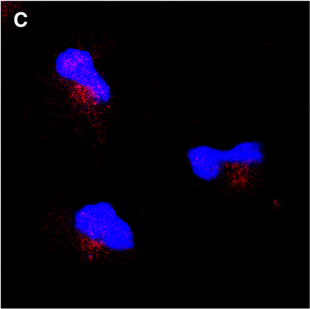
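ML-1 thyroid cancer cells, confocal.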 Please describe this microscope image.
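The nuclei are irregular in outline, somewhat elongated or lobed rather than round, and fill a large part of each cell. The red fluorescence is fine and granular, made of many small dots rather than an even fill. These red dots gather mainly beside the nucleus, lying to one side of it in the cytoplasm, with a few dots farther out. The cells do not touch one another, and the cell borders themselves are not outlined.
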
